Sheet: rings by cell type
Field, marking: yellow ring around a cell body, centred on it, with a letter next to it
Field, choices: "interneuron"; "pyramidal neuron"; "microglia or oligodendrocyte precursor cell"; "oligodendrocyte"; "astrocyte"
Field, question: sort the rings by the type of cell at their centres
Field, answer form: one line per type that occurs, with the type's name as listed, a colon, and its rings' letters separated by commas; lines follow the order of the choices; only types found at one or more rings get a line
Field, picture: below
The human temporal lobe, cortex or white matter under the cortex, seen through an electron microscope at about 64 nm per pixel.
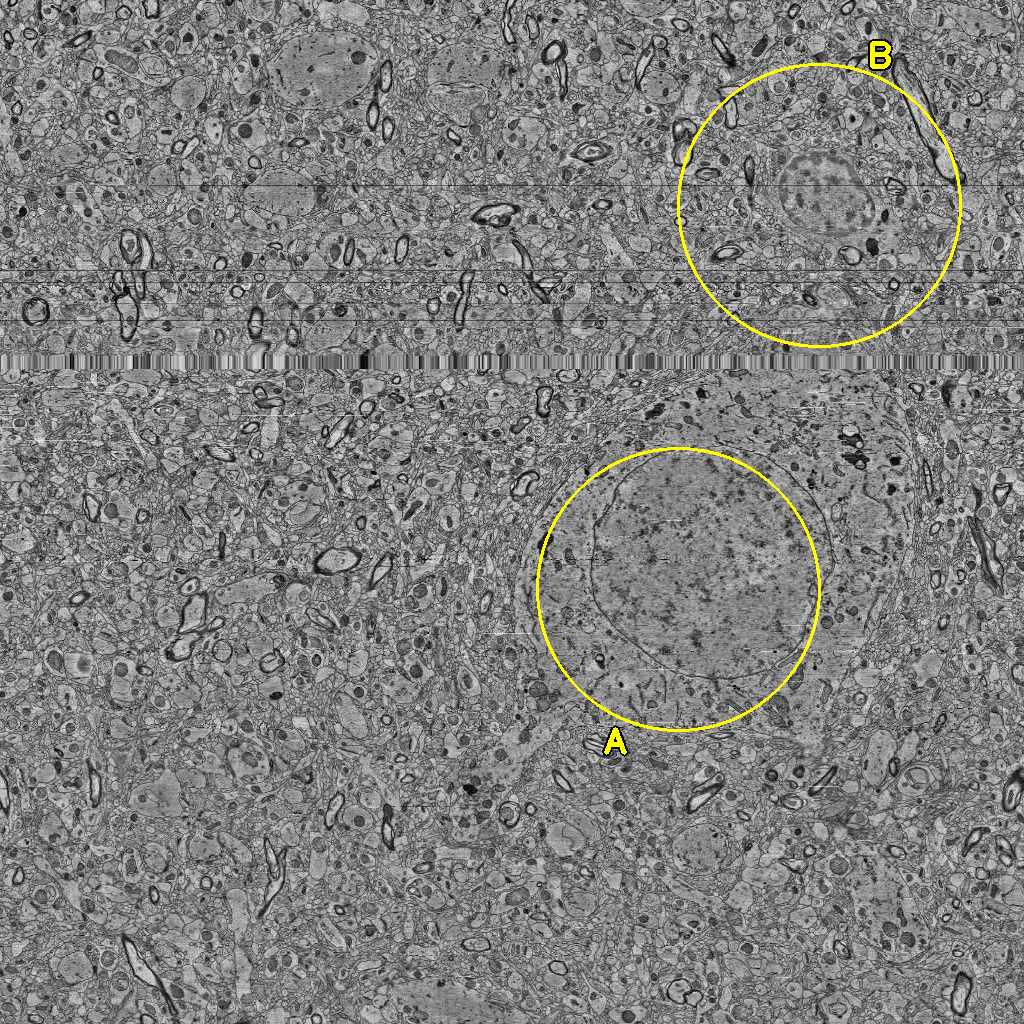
pyramidal neuron: A
oligodendrocyte: B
